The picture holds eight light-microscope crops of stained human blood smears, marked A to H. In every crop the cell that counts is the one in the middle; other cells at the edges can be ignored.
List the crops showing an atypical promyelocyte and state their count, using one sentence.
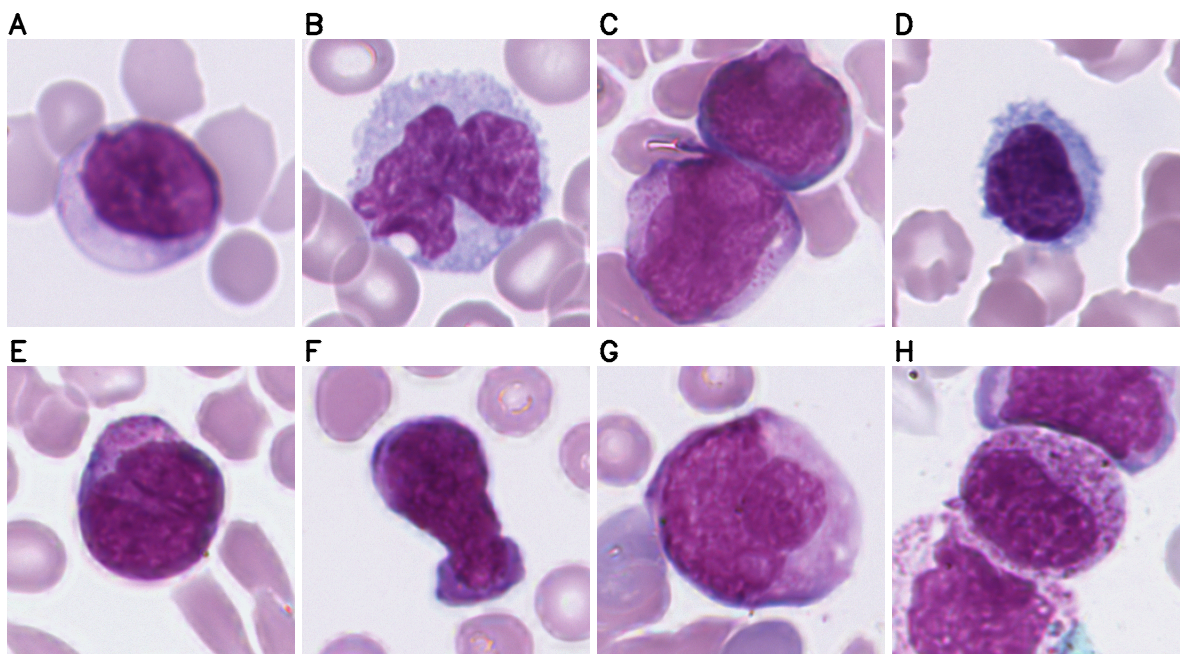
As for atypical promyelocytes, these are shown in four crops, C, E, F and G.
